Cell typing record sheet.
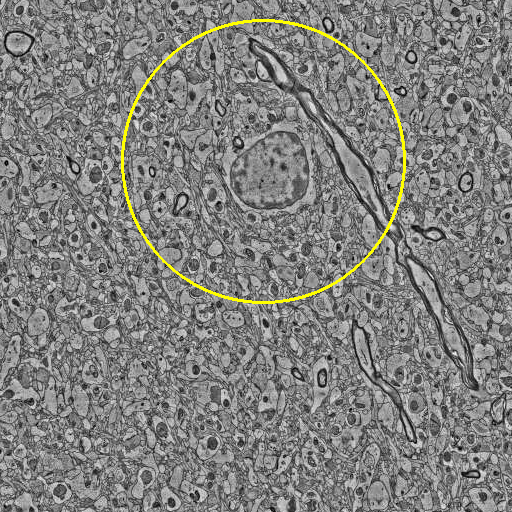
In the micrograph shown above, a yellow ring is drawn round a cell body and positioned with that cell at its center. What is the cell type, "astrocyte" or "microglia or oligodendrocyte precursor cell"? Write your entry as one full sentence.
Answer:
The cell body at the center of the ring belongs to a microglial cell or oligodendrocyte precursor cell.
